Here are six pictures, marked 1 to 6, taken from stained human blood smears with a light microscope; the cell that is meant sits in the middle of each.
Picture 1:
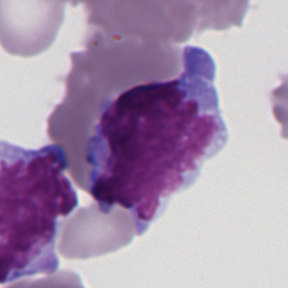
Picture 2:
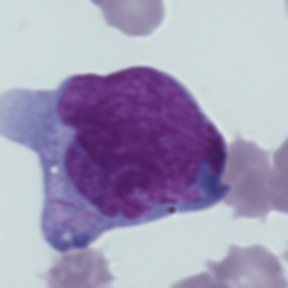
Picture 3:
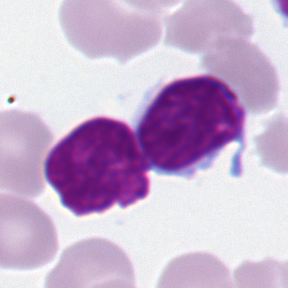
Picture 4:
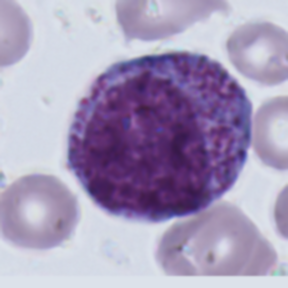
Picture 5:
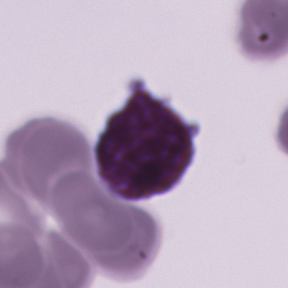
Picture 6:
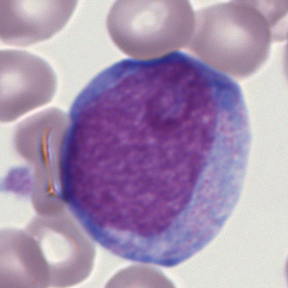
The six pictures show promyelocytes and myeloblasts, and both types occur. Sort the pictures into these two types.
1: myeloblast
2: myeloblast
3: myeloblast
4: promyelocyte
5: myeloblast
6: promyelocyte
